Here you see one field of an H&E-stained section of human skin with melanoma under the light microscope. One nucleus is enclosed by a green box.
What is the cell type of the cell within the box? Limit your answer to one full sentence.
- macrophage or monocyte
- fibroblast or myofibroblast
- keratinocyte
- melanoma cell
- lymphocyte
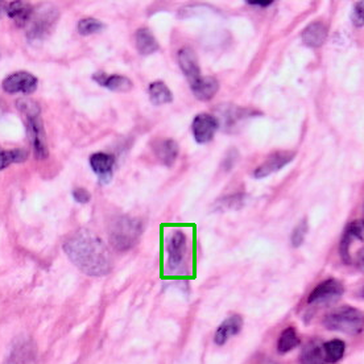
In the context of this tissue, the cell within the box is a fibroblast or myofibroblast.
